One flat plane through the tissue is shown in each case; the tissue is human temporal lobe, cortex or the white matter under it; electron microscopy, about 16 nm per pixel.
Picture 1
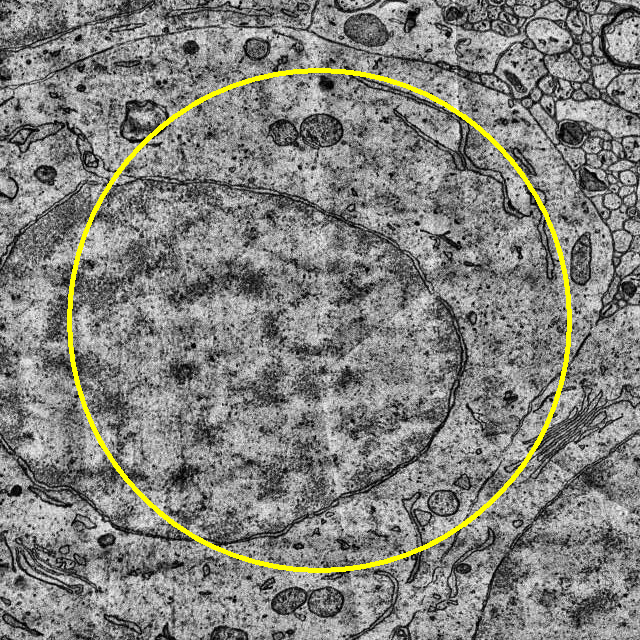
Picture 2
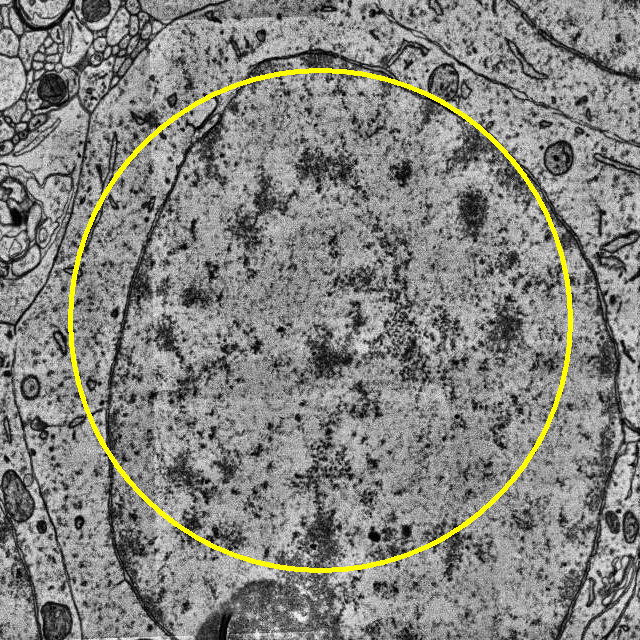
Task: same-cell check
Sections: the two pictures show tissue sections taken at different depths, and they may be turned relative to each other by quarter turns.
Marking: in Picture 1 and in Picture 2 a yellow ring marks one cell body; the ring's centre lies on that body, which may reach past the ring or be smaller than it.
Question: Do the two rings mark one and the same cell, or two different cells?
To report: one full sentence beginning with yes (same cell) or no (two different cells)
Yes, the same cell appears within both yellow rings.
